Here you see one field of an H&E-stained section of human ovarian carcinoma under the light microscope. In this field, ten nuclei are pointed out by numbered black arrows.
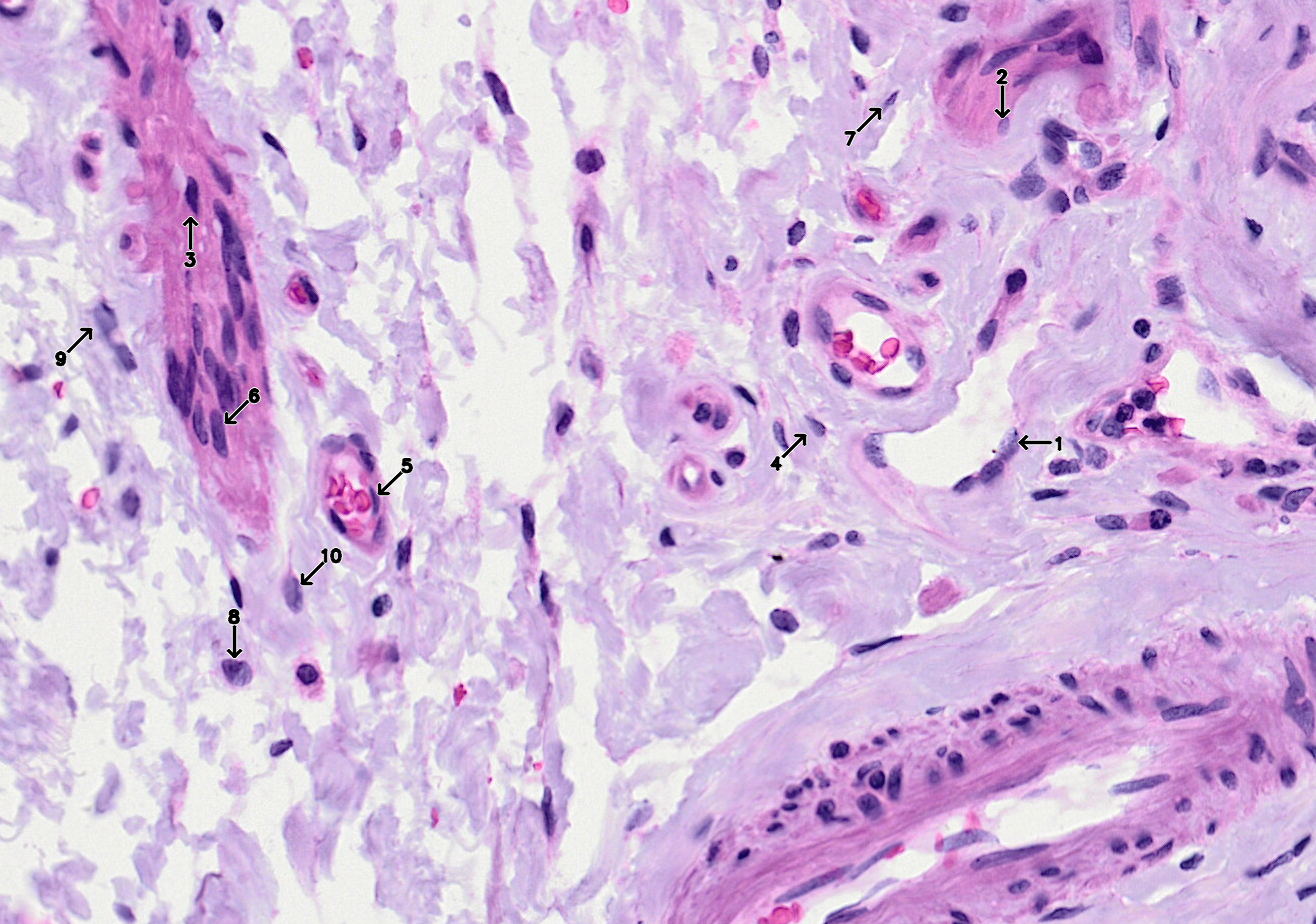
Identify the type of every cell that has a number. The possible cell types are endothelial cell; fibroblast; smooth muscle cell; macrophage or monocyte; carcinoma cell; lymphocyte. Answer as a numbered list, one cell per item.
1. endothelial cell
2. smooth muscle cell
3. smooth muscle cell
4. fibroblast
5. endothelial cell
6. smooth muscle cell
7. fibroblast
8. fibroblast
9. fibroblast
10. fibroblast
